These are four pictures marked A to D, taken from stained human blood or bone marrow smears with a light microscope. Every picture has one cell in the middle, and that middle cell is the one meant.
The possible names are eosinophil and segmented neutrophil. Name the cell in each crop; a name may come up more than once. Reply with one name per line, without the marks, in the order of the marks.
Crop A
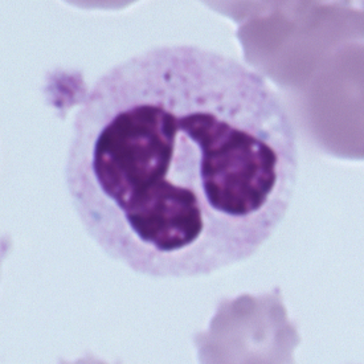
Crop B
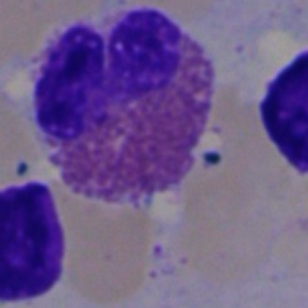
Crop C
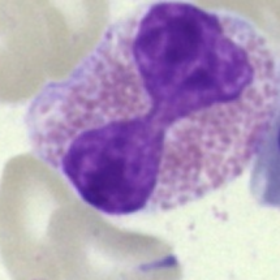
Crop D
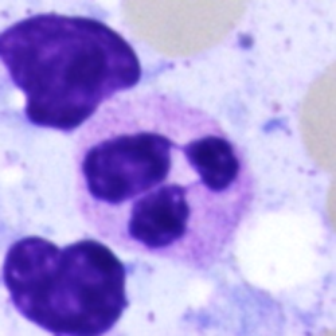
segmented neutrophil
eosinophil
eosinophil
segmented neutrophil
